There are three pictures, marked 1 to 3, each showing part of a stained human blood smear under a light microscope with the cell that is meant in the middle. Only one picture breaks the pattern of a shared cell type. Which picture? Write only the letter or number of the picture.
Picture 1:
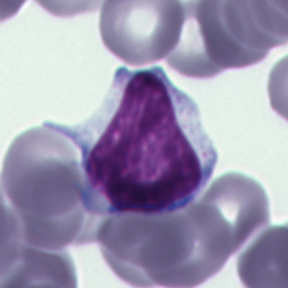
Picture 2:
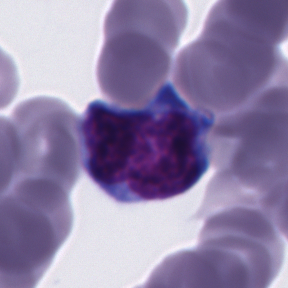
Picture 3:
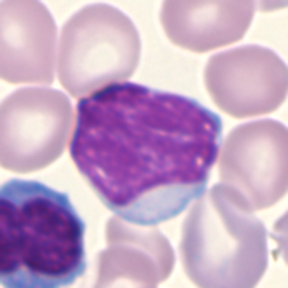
3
